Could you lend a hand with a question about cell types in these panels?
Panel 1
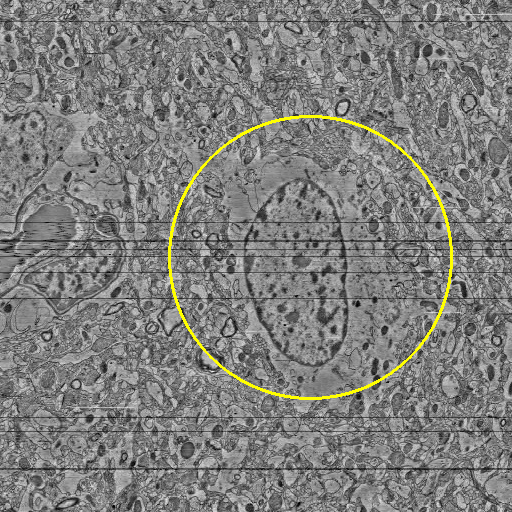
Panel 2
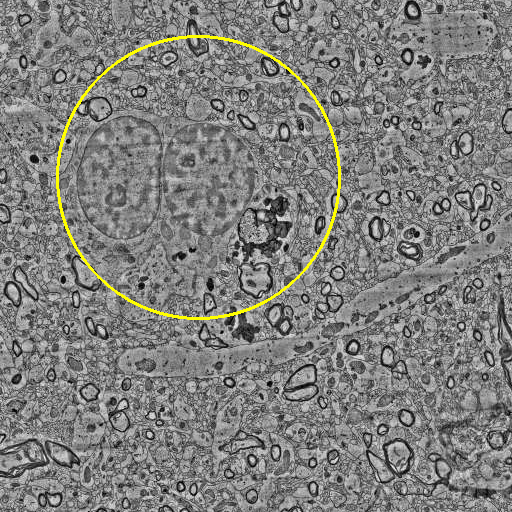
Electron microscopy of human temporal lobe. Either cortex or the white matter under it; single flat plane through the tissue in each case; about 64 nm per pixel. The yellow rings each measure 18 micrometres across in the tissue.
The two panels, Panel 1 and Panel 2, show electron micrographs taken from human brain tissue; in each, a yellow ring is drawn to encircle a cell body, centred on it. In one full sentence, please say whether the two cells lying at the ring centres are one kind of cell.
No, the cells at the ring centres in the two panels are two kinds of cell.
